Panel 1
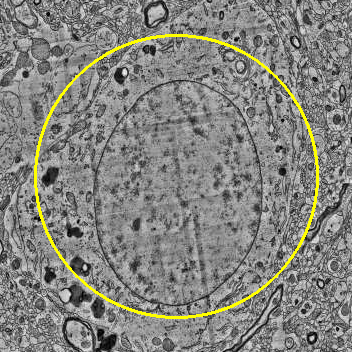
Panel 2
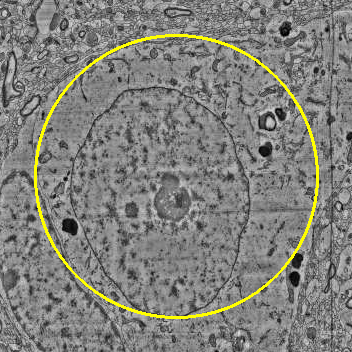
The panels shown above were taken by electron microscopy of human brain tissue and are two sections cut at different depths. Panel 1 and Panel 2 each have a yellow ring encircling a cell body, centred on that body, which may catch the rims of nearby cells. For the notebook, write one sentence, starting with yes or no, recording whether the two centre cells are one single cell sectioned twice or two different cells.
No, each of the two rings holds a different cell.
